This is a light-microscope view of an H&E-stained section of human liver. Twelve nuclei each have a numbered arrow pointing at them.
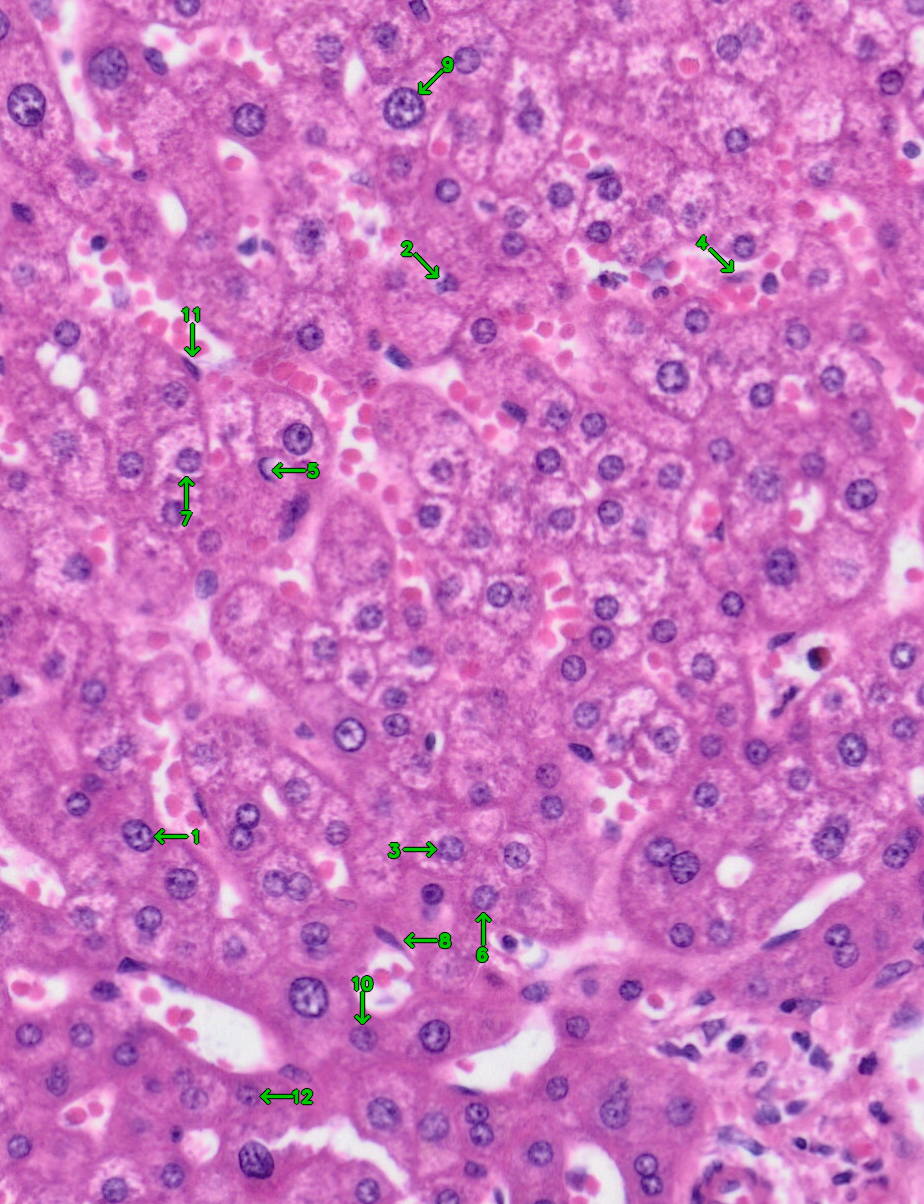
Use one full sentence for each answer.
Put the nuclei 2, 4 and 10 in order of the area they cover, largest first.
Going from the biggest nucleus down to the smallest gives 10, 2, 4.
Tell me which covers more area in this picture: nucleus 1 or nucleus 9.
Nucleus 9 covers more area, about 2 times as much as nucleus 1.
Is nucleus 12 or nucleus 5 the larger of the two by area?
Nucleus 12 is the larger one, covering about 1.5 times the area of nucleus 5.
